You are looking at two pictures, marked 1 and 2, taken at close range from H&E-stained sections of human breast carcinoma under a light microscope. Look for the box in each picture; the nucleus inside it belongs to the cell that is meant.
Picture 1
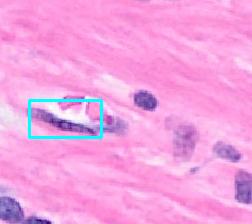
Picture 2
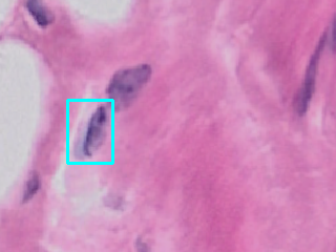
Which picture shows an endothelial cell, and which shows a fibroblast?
1: endothelial cell
2: fibroblast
